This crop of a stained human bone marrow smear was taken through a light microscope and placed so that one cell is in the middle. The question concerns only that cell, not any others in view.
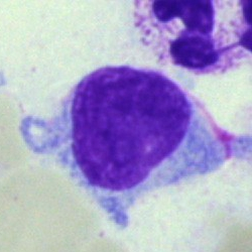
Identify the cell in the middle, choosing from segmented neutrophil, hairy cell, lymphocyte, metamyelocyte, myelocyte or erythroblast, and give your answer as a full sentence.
In this crop, the cell at the very middle is a hairy cell.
